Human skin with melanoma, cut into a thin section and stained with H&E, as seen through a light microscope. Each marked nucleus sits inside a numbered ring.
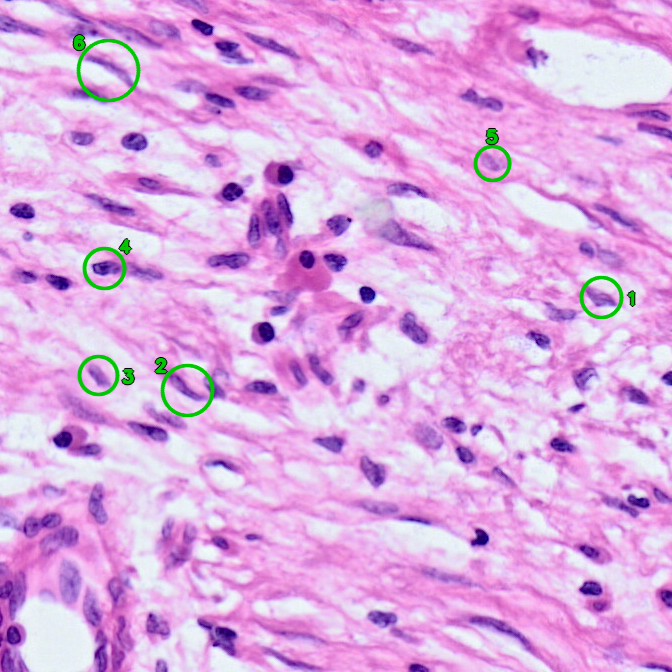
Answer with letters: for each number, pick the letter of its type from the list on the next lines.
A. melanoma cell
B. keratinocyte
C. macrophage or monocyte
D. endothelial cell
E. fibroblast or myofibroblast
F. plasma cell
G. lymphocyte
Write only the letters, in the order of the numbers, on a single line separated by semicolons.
E; E; C; G; E; E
